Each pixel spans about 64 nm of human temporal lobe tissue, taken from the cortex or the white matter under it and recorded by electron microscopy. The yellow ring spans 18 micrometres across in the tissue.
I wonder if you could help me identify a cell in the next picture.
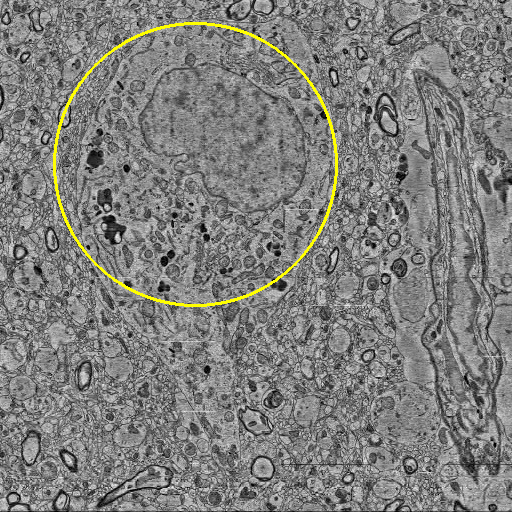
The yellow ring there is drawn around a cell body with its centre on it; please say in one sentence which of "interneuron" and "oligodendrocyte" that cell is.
The yellow ring is centred on an interneuron.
